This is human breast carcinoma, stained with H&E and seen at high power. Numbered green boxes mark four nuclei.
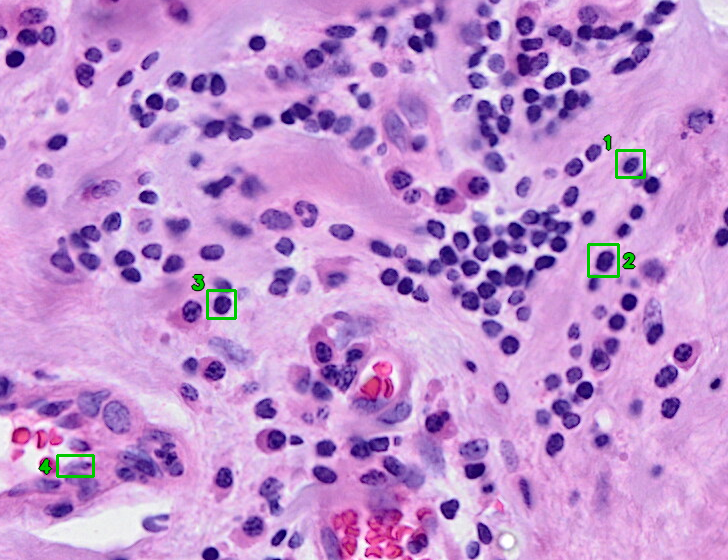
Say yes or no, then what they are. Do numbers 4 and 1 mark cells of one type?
No, an endothelial cell is what cell 4 is, and a lymphocyte is what cell 1 is.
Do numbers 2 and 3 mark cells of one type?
Yes, both cells 2 and 3 are lymphocytes.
